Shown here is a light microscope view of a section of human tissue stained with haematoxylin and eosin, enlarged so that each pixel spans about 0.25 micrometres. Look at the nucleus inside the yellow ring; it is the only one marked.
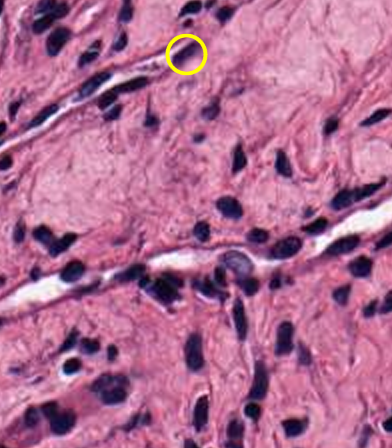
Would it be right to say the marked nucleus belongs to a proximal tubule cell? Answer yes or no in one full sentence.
No, the marked nucleus is found in a supporting cell instead of in a proximal tubule cell.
